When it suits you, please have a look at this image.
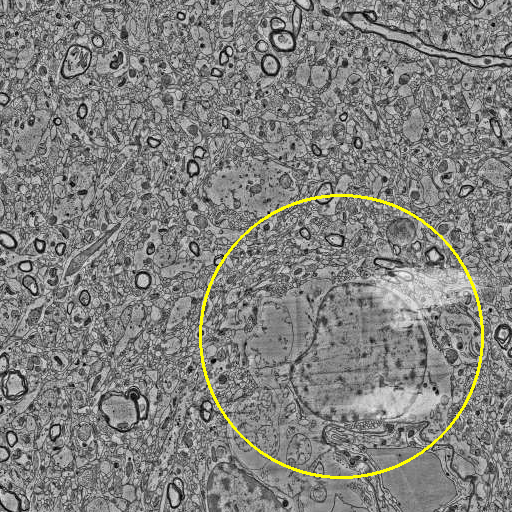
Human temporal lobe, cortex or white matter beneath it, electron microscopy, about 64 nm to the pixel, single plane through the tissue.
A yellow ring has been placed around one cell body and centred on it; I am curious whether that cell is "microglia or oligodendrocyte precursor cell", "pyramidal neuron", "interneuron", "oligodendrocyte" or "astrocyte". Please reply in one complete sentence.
The ringed cell, an astrocyte, has its body at the centre of the yellow ring.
